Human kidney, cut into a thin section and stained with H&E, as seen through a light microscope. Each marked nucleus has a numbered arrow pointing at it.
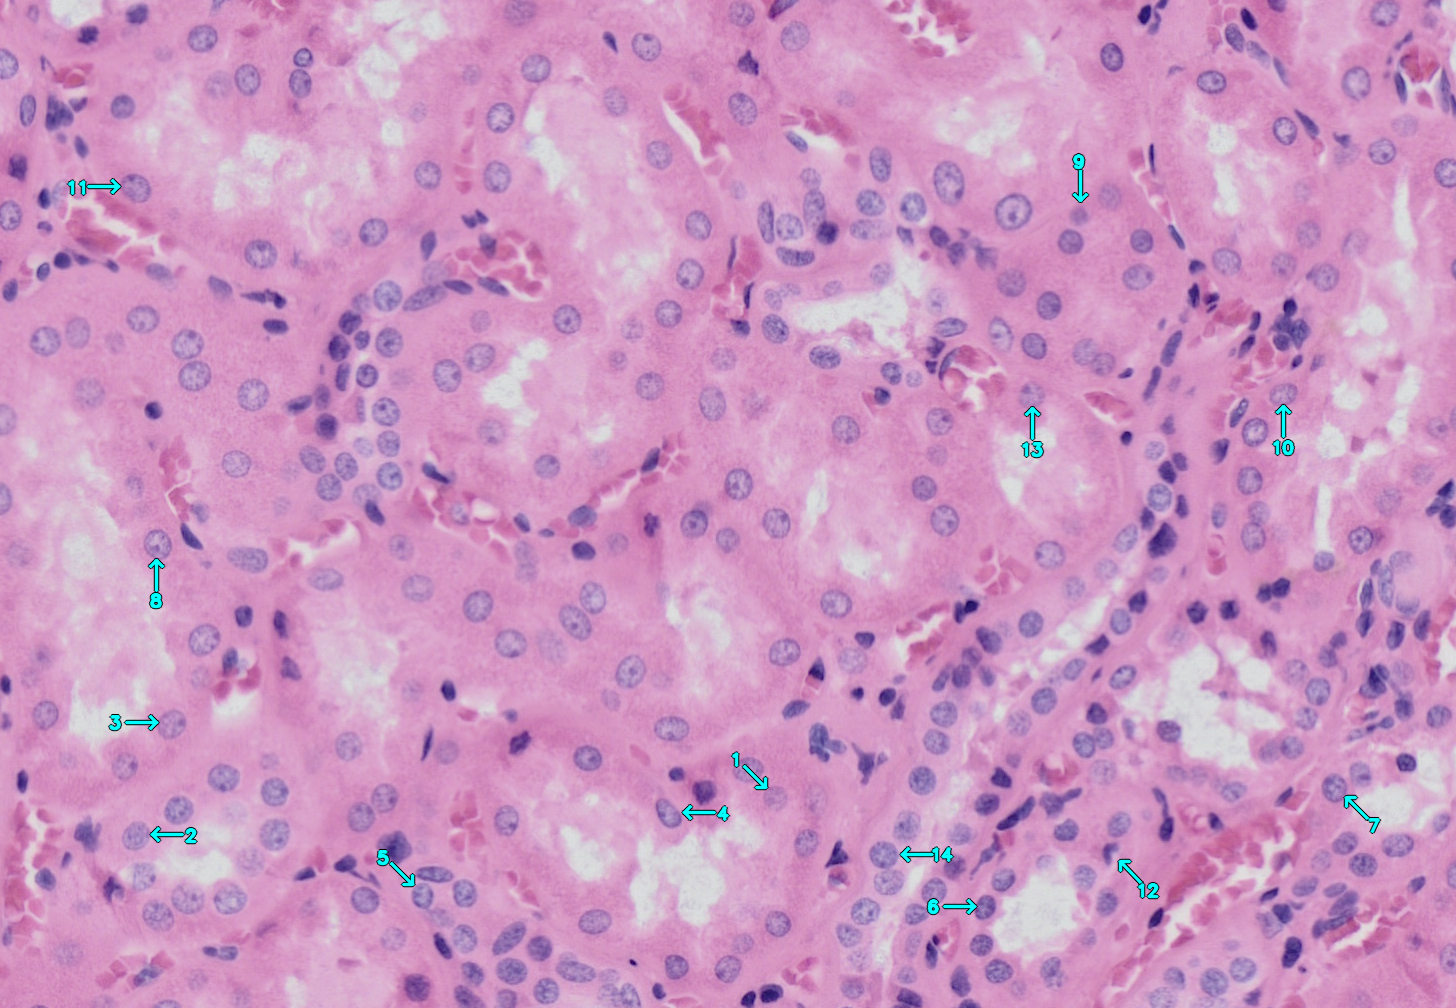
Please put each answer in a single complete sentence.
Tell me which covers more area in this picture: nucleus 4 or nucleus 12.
The larger nucleus is 4, at roughly 2 times the area of 12.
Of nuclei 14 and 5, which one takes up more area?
Nucleus 14 is the larger one, covering about 1.5 times the area of nucleus 5.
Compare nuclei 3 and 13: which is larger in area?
Nucleus 3 covers more area, about 1.5 times as much as nucleus 13.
